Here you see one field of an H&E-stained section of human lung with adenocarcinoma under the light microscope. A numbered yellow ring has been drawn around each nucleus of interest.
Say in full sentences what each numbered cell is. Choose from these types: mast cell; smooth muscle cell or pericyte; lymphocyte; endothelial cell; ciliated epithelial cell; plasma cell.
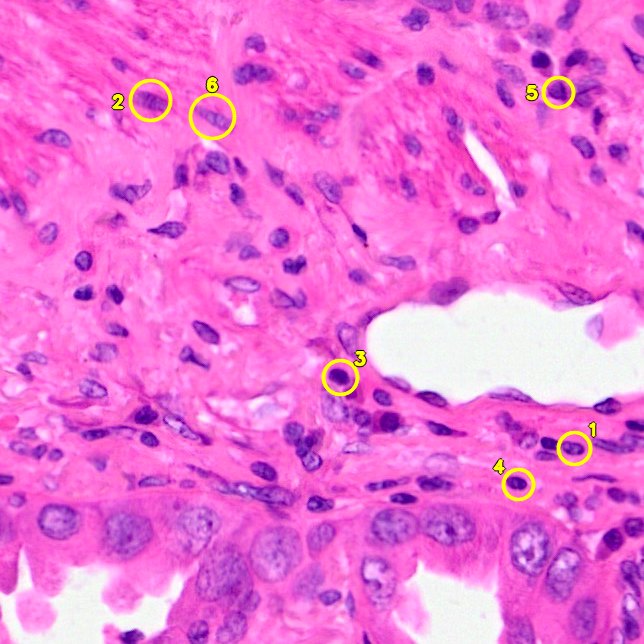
Cell 1 is a mast cell, cell 2 is a smooth muscle cell or pericyte, cell 3 is a lymphocyte, cell 4 is a lymphocyte, cell 5 is a plasma cell and cell 6 is a smooth muscle cell or pericyte.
